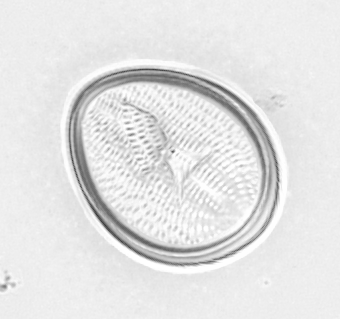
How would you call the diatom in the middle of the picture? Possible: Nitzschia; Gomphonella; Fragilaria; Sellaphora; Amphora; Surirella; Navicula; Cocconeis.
I would call it Cocconeis.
